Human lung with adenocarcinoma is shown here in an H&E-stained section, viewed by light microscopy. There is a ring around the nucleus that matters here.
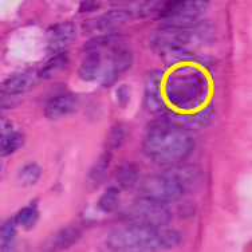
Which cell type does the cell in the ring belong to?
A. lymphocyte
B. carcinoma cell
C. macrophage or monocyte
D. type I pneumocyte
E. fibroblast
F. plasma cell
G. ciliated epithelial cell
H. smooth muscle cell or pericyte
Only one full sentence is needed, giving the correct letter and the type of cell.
Option G is correct; the cell in the ring is a ciliated epithelial cell.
